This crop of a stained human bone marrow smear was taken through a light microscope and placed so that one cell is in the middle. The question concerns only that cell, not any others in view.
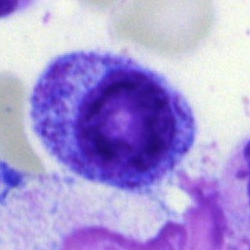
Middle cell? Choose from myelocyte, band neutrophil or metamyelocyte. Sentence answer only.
In the crop, the cell of interest at the centre is a myelocyte.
